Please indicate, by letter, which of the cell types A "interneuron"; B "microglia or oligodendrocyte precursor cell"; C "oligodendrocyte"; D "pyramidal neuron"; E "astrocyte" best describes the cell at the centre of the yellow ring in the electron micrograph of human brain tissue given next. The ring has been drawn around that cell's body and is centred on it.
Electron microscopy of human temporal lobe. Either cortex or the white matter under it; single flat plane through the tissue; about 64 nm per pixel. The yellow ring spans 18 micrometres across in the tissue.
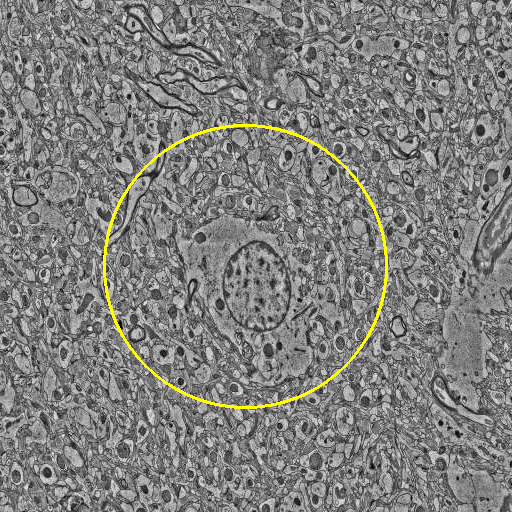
E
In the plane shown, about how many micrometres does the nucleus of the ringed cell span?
The ringed cell's nucleus measures approximately 6 by 5 micrometres in this plane.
